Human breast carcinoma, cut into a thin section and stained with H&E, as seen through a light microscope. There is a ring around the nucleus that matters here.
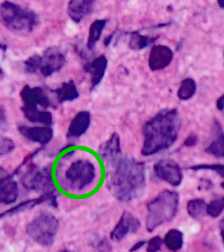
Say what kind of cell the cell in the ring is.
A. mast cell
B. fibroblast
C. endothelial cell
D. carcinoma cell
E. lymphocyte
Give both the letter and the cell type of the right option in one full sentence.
Option D is the one that fits, as the cell in the ring is a carcinoma cell.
